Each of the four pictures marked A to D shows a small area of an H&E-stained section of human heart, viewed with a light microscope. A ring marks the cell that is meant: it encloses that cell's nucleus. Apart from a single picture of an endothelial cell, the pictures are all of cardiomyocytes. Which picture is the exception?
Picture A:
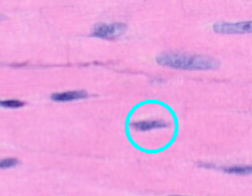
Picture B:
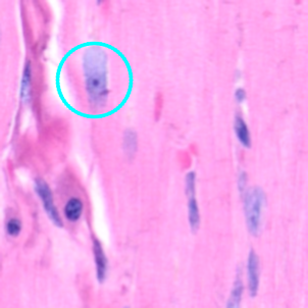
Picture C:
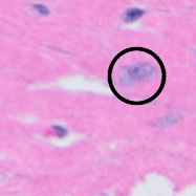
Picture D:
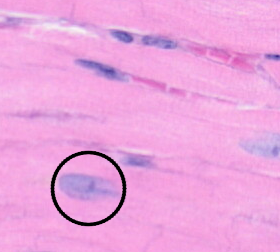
A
